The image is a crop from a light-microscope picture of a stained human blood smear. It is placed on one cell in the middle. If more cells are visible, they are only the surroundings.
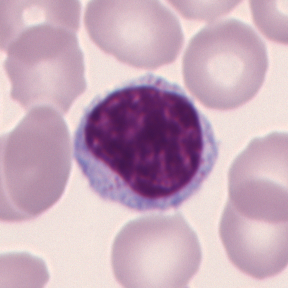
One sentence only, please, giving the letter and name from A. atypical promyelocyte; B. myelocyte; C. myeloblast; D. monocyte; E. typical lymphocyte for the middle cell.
Option E is accurate; the centrally placed cell is a typical lymphocyte.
